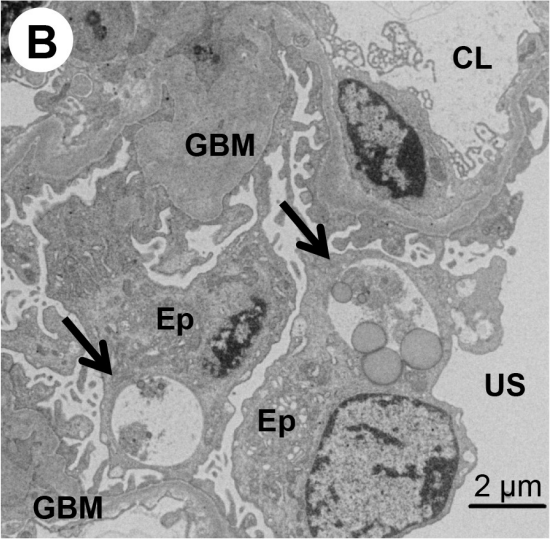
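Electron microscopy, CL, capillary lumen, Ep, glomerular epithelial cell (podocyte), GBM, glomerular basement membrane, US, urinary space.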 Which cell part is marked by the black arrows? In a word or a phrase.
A: Autophagic vacuoles.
